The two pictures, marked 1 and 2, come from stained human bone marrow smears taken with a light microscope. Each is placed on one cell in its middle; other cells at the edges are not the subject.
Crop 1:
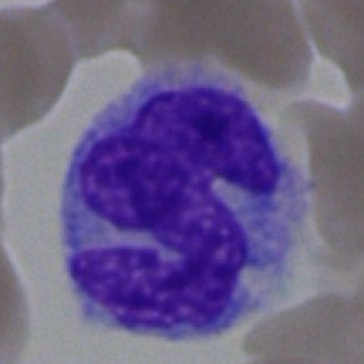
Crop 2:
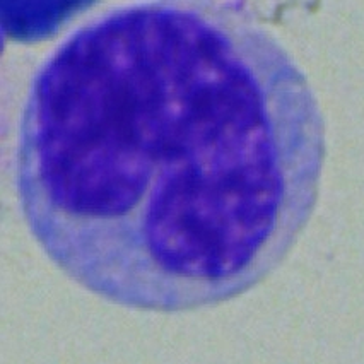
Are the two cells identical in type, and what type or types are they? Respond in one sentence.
Yes, for both crops, the central cells are monocytes.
